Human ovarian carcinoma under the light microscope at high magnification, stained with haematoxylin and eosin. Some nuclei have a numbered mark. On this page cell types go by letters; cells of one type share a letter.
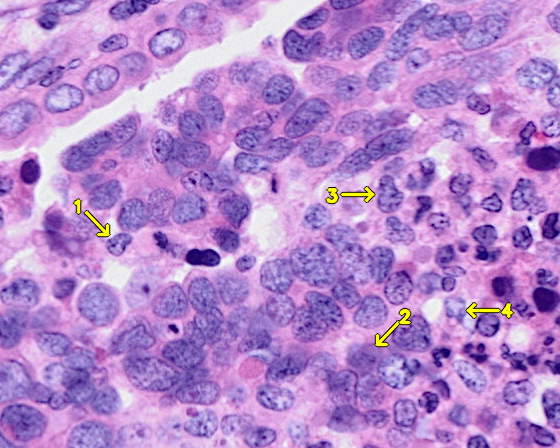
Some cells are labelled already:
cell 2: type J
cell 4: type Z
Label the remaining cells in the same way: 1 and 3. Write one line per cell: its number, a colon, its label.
1: type Z
3: type Z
